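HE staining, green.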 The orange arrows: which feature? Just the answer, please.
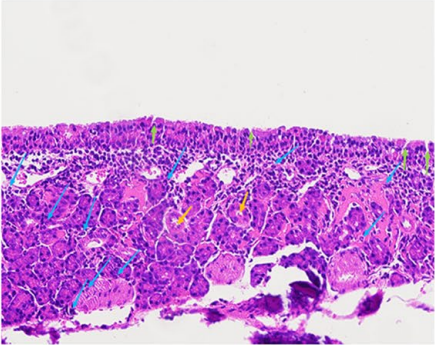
glands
